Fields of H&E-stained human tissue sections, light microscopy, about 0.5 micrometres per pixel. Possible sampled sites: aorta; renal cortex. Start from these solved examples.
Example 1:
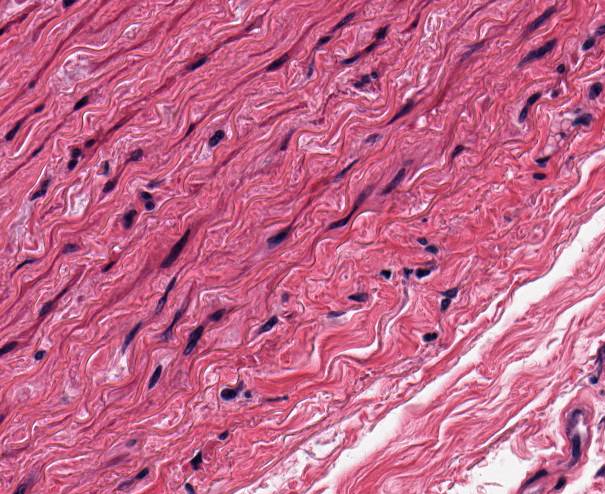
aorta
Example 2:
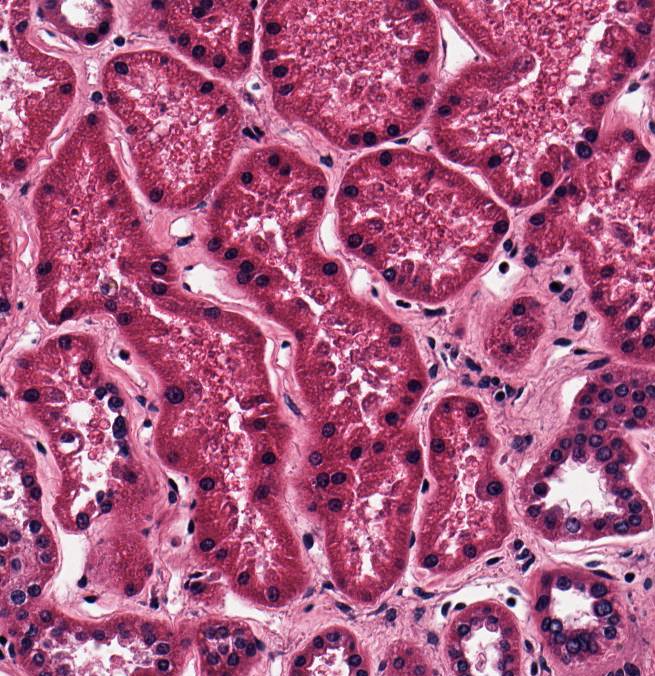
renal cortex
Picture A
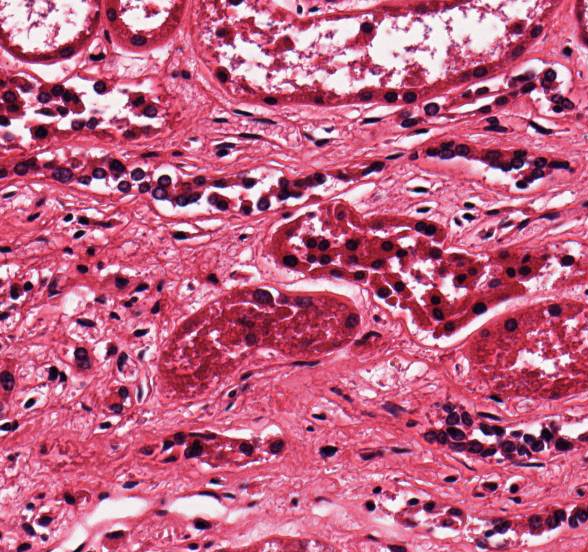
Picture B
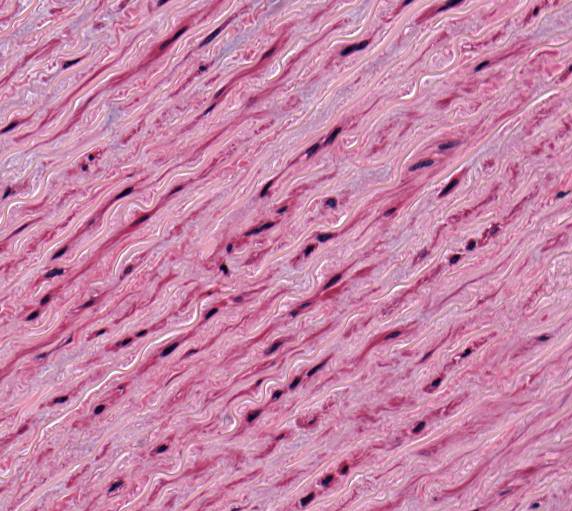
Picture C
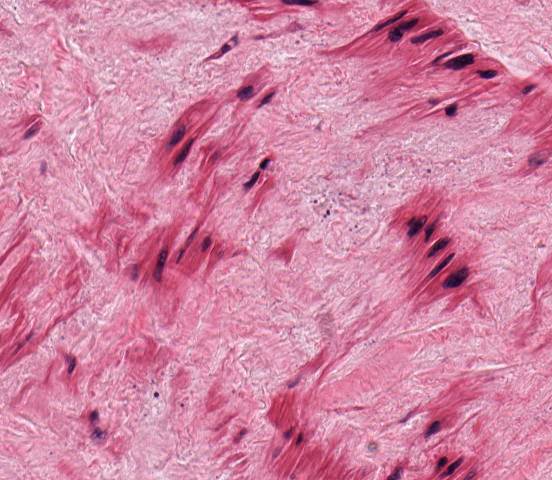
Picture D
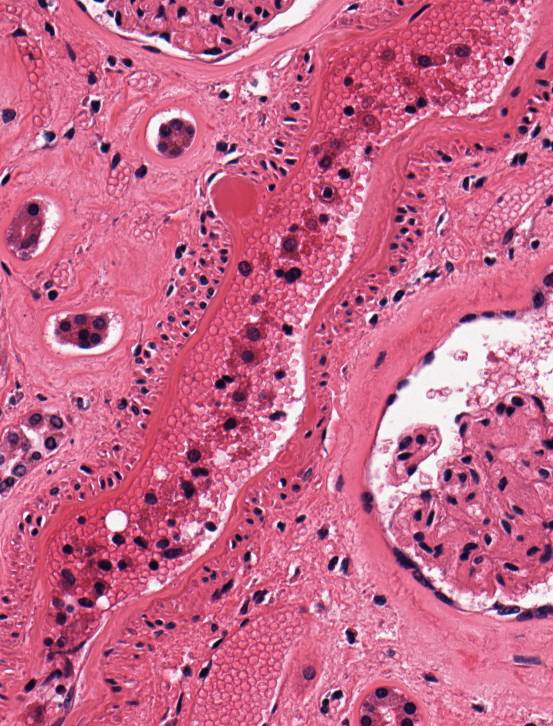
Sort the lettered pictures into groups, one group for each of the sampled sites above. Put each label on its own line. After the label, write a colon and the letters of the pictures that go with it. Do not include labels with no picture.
aorta: B, C
renal cortex: A, D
